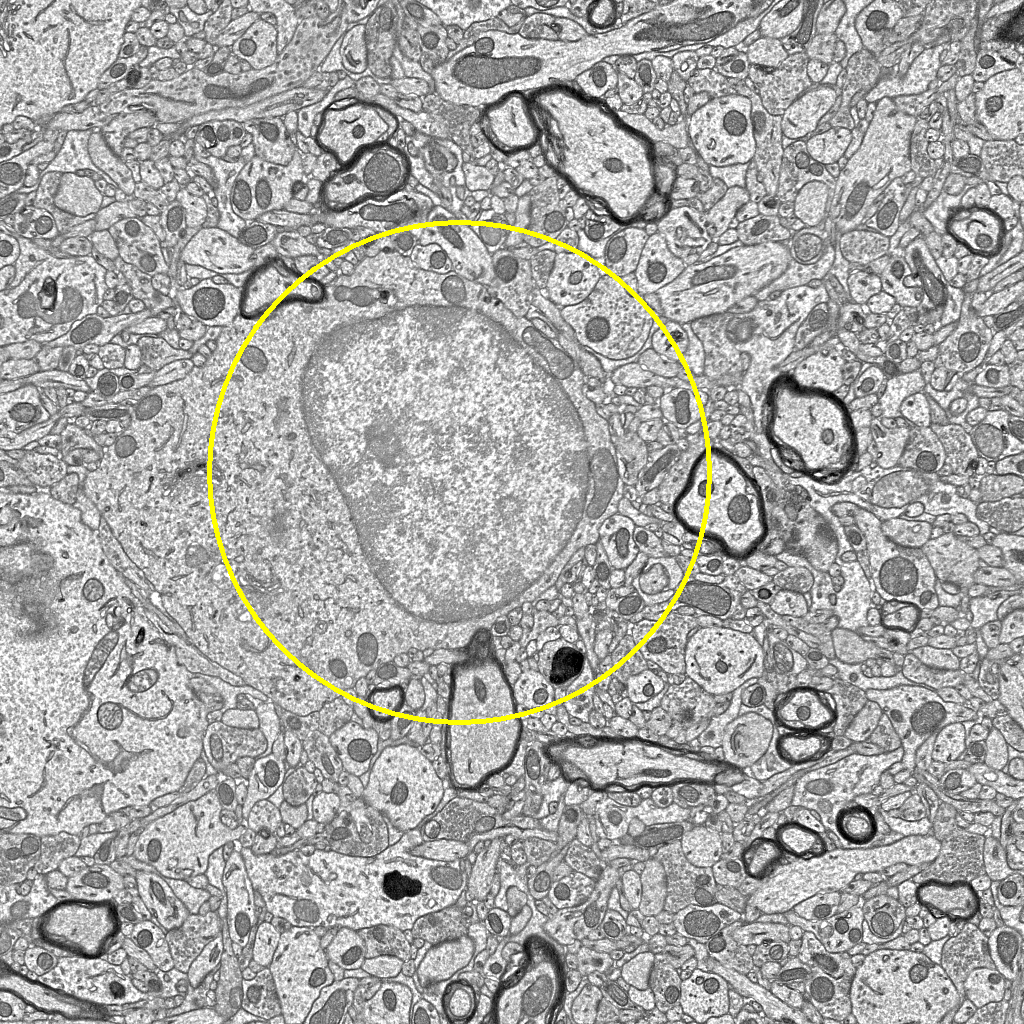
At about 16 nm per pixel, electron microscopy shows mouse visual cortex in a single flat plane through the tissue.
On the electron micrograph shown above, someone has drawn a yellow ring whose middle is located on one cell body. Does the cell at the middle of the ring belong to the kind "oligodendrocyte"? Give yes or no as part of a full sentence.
Yes, the cell located at the middle of the ring in the micrograph is of that kind.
